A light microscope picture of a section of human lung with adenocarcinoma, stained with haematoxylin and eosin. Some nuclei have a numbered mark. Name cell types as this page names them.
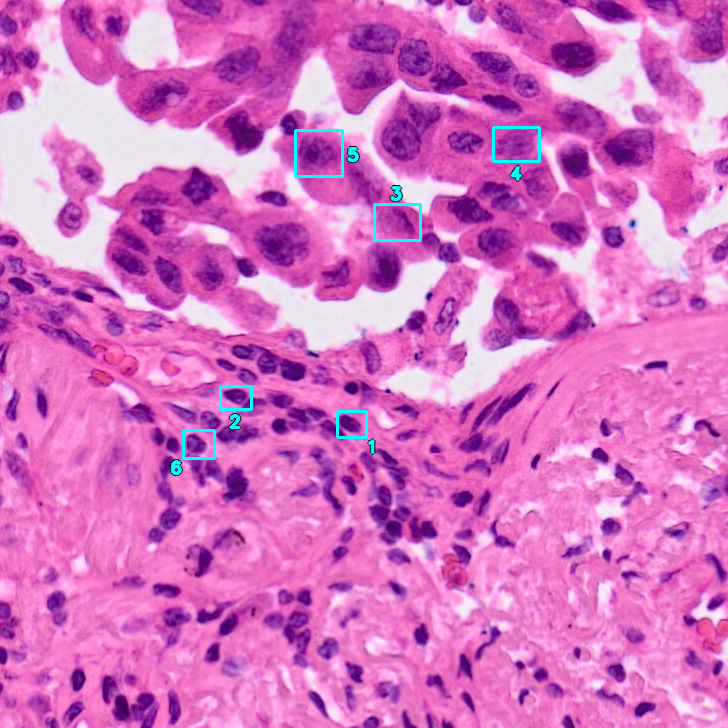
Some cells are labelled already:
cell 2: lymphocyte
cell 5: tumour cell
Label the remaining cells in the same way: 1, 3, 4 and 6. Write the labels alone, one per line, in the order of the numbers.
lymphocyte
tumour cell
tumour cell
lymphocyte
